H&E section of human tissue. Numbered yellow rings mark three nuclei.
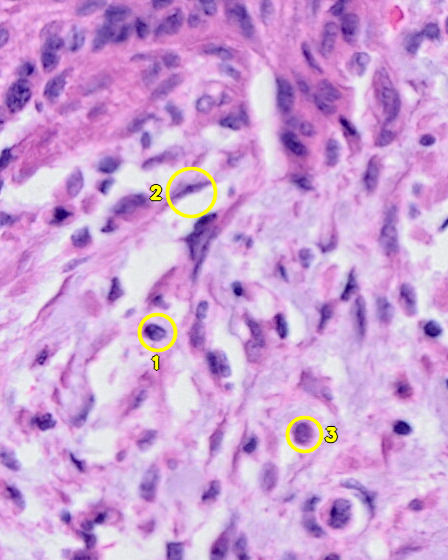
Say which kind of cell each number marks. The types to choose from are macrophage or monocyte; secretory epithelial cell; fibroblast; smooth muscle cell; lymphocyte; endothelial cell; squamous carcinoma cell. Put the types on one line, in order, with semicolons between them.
lymphocyte; fibroblast; macrophage or monocyte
